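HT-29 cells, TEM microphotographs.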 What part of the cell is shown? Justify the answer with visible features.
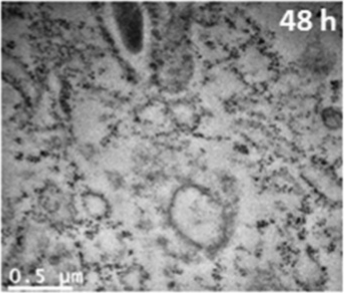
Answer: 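A larger round vacuole near the bottom has a membrane wall enclosing cytoplasmic material.
Answer: autophagic vacuoles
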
